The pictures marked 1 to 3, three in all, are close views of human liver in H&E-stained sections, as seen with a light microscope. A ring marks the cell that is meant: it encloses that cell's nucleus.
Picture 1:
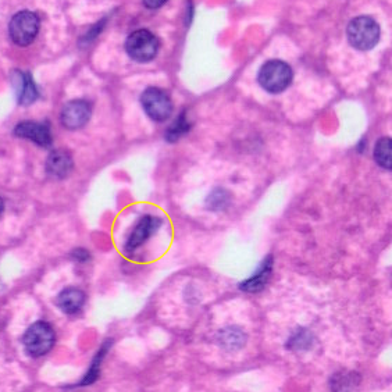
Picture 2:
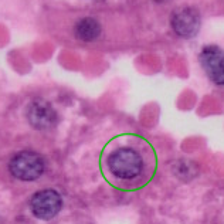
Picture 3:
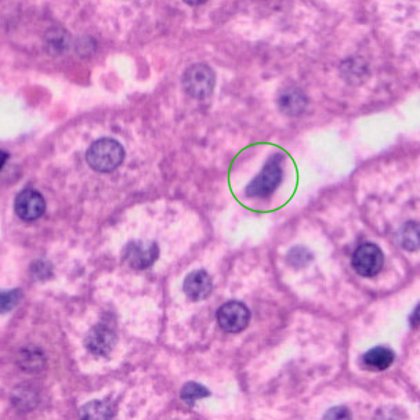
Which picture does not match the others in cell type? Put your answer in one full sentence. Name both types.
Picture 2 differs, because its cell is a hepatocyte and the rest are Kupffer cells.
